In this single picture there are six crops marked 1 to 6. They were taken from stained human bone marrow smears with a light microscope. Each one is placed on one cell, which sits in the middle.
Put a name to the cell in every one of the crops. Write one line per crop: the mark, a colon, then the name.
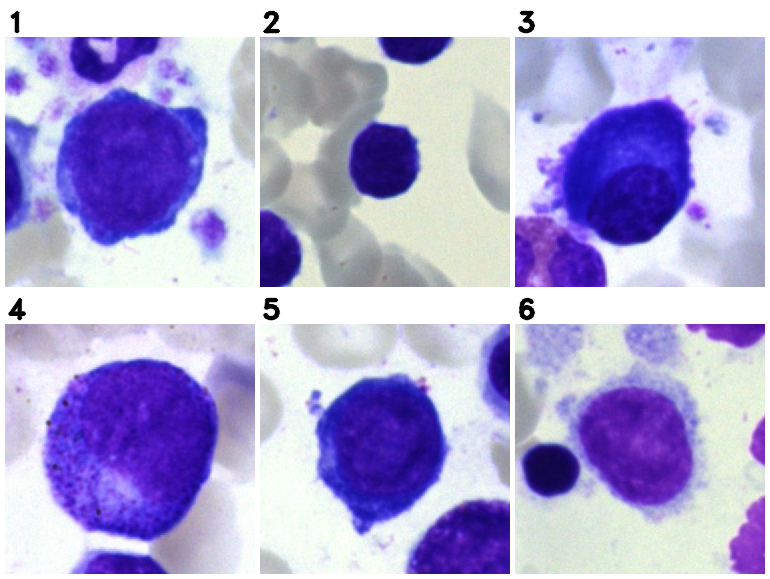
1: proerythroblast
2: lymphocyte
3: plasma cell
4: promyelocyte
5: proerythroblast
6: hairy cell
